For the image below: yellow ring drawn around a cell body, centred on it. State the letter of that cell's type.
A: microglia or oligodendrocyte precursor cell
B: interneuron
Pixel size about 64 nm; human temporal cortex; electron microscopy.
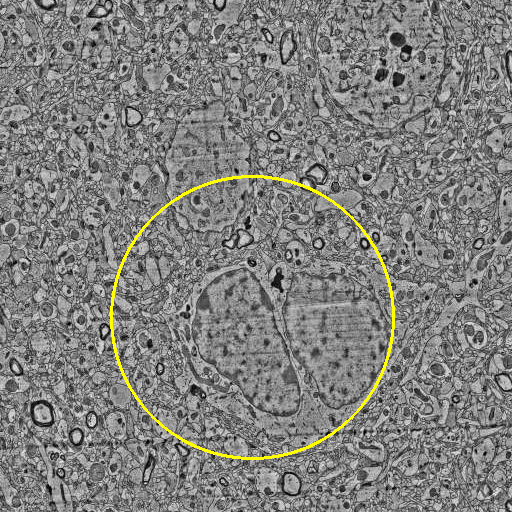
A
